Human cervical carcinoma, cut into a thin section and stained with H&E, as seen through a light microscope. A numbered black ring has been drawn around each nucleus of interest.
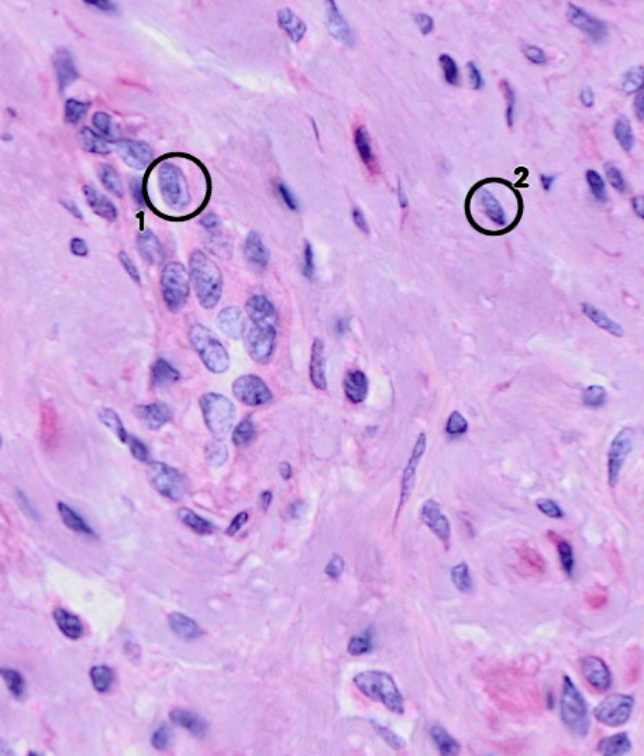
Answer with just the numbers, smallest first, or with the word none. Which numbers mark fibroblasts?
2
